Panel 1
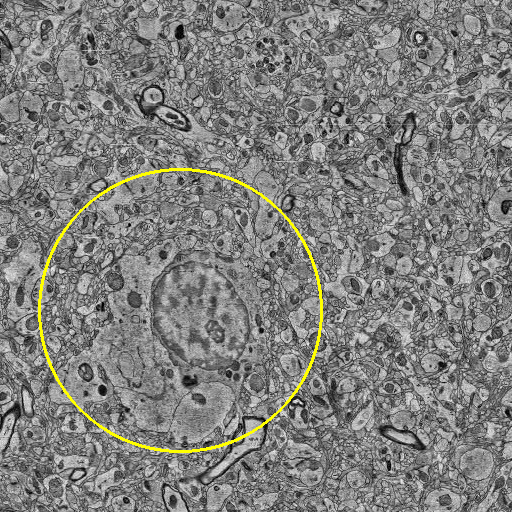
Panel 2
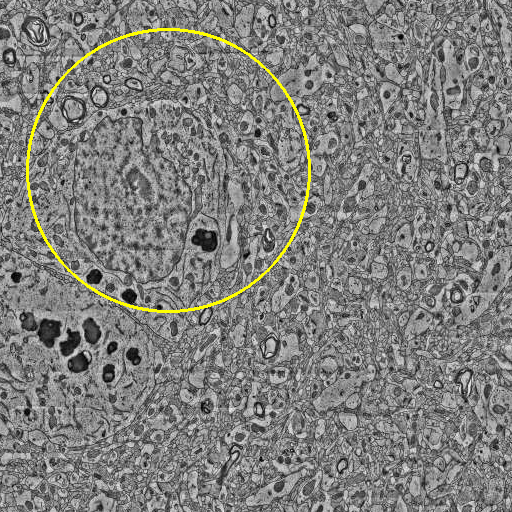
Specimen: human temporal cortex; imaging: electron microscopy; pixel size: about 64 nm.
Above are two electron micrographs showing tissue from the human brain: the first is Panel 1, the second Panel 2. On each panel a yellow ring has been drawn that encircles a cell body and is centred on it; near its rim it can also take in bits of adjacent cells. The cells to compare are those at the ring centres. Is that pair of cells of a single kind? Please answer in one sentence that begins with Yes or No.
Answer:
No, the ring-centred cells of Panel 1 and Panel 2 belong to two kinds.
